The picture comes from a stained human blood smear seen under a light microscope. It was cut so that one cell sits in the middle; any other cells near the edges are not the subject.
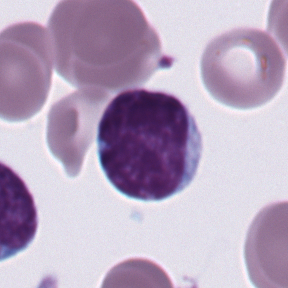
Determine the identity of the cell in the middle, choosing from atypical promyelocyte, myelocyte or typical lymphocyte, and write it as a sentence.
By type, the central cell of the crop is a typical lymphocyte.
